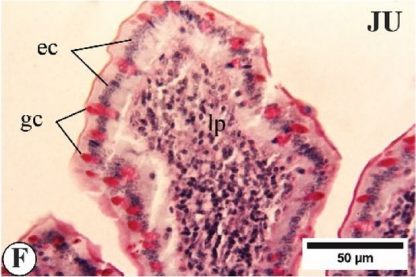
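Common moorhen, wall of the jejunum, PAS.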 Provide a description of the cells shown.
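Tip of an intestinal villus lined by a simple columnar epithelium of enterocytes with interspersed goblet cells. The enterocytes are tall and closely packed, with elongated dark nuclei aligned toward the base and a thin pink-stained free border. Goblet cells stand out singly between them as oval cells filled with intensely magenta-stained mucin. The villus core is lamina propria crowded with small round dark nuclei of connective tissue and free cells.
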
